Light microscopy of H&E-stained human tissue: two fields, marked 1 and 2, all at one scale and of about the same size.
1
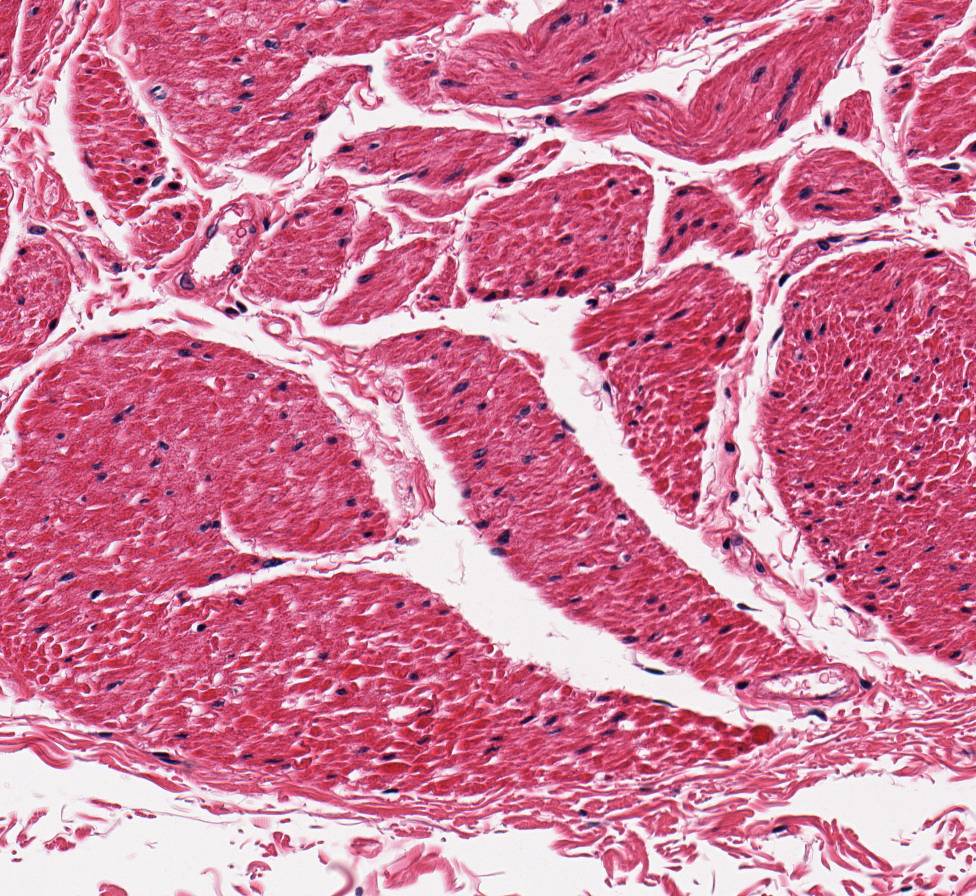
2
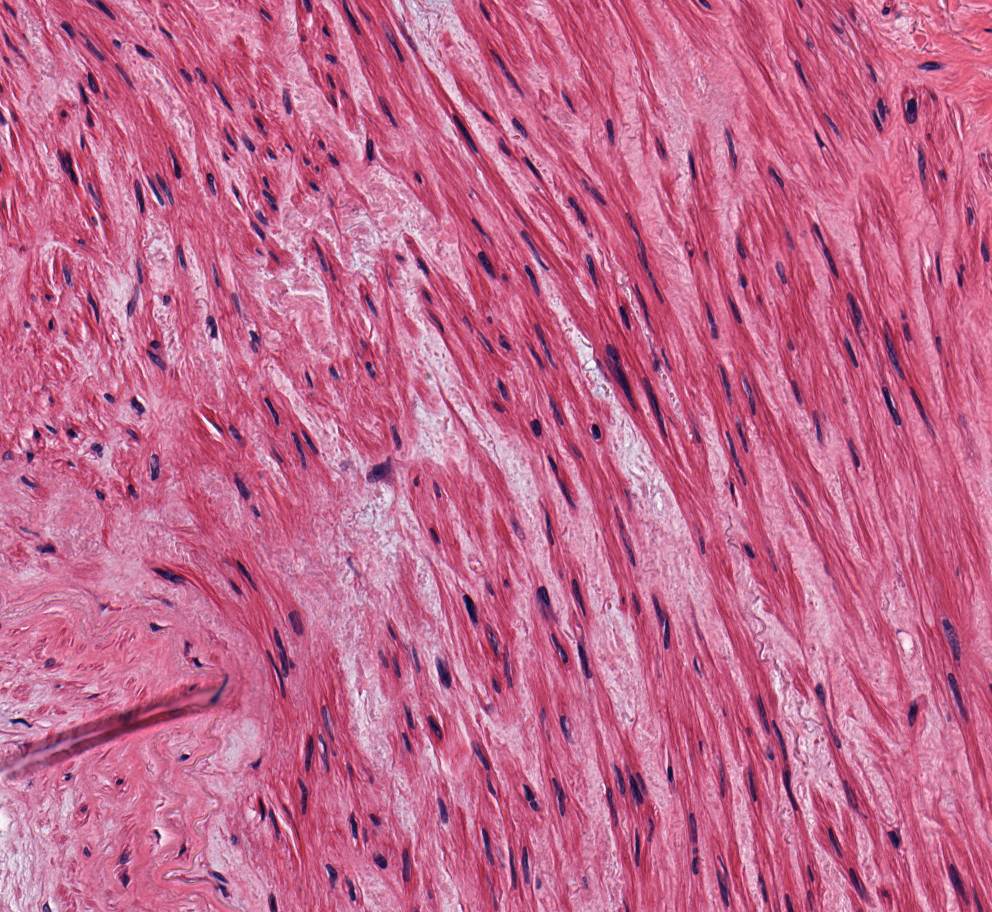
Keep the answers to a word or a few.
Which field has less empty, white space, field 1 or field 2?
2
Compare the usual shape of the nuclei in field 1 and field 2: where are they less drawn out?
1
